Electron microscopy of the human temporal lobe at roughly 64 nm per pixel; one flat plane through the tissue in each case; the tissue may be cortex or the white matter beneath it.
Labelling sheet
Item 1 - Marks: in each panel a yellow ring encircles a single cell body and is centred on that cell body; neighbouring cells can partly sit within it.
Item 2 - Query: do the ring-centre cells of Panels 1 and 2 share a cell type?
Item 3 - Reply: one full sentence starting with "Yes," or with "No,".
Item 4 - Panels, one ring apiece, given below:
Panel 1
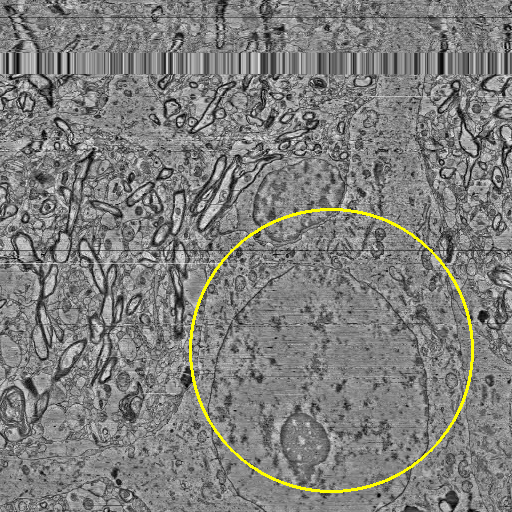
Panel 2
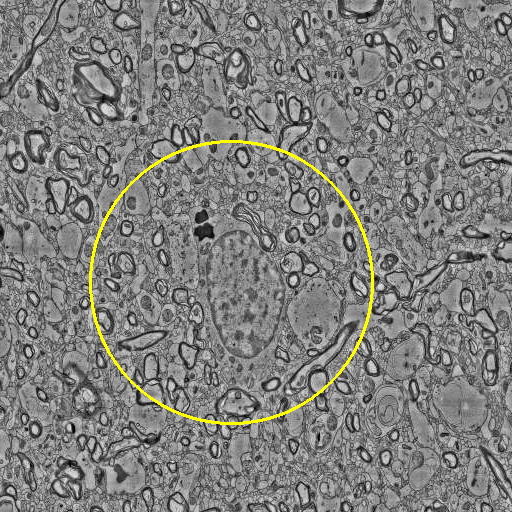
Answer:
No, Panel 1 and Panel 2 show two cell types at the centres of their rings.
